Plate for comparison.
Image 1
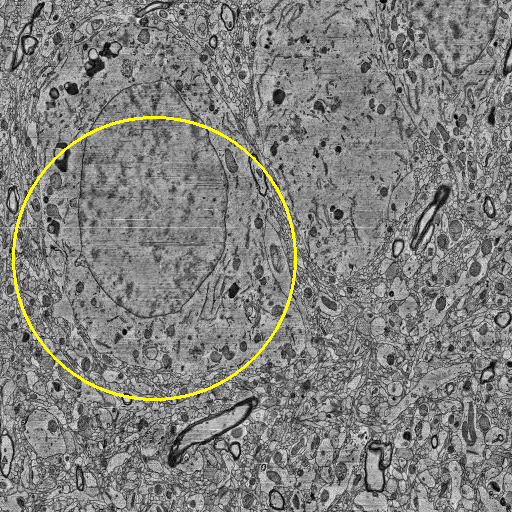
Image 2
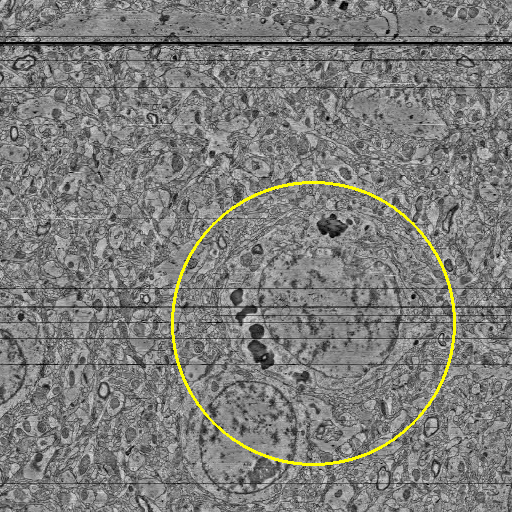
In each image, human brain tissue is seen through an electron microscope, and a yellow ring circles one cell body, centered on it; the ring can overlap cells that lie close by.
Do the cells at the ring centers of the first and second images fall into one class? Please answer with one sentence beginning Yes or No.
No, the first and second images show two classes of cell at the ring centers.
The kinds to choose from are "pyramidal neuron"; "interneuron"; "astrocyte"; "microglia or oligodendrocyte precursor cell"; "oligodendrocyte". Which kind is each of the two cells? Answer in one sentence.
Of the two, the first cell is a pyramidal neuron and the second cell is an interneuron.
